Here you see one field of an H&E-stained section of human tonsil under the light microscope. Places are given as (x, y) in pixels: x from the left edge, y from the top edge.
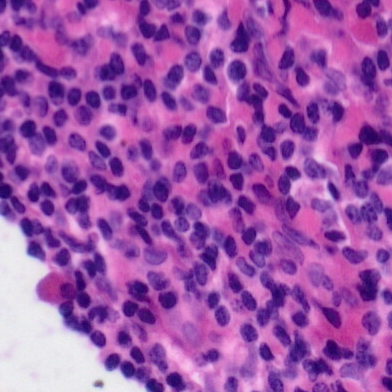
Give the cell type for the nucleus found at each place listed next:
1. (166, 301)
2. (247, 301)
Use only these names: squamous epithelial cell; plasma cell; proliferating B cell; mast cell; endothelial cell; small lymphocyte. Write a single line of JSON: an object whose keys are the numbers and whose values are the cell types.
{"1": "endothelial cell", "2": "small lymphocyte"}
